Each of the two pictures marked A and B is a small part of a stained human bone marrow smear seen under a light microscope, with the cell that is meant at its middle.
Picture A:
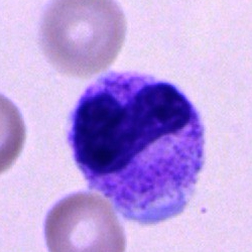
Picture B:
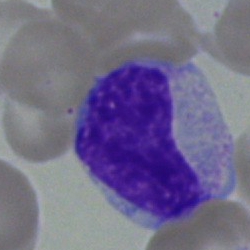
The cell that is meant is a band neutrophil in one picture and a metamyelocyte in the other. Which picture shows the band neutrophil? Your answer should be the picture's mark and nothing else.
A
